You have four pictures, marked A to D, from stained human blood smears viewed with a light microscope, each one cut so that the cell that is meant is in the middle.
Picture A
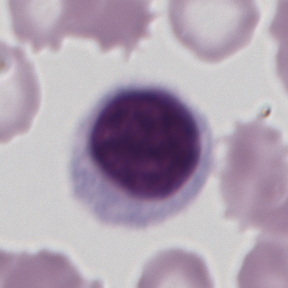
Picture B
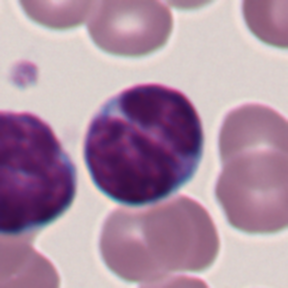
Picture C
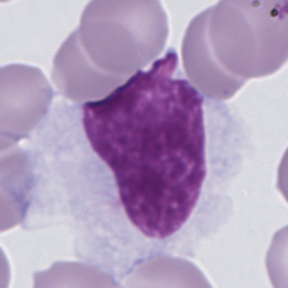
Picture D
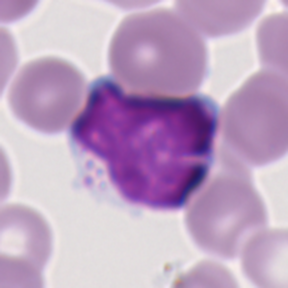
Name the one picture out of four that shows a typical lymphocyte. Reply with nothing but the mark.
B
